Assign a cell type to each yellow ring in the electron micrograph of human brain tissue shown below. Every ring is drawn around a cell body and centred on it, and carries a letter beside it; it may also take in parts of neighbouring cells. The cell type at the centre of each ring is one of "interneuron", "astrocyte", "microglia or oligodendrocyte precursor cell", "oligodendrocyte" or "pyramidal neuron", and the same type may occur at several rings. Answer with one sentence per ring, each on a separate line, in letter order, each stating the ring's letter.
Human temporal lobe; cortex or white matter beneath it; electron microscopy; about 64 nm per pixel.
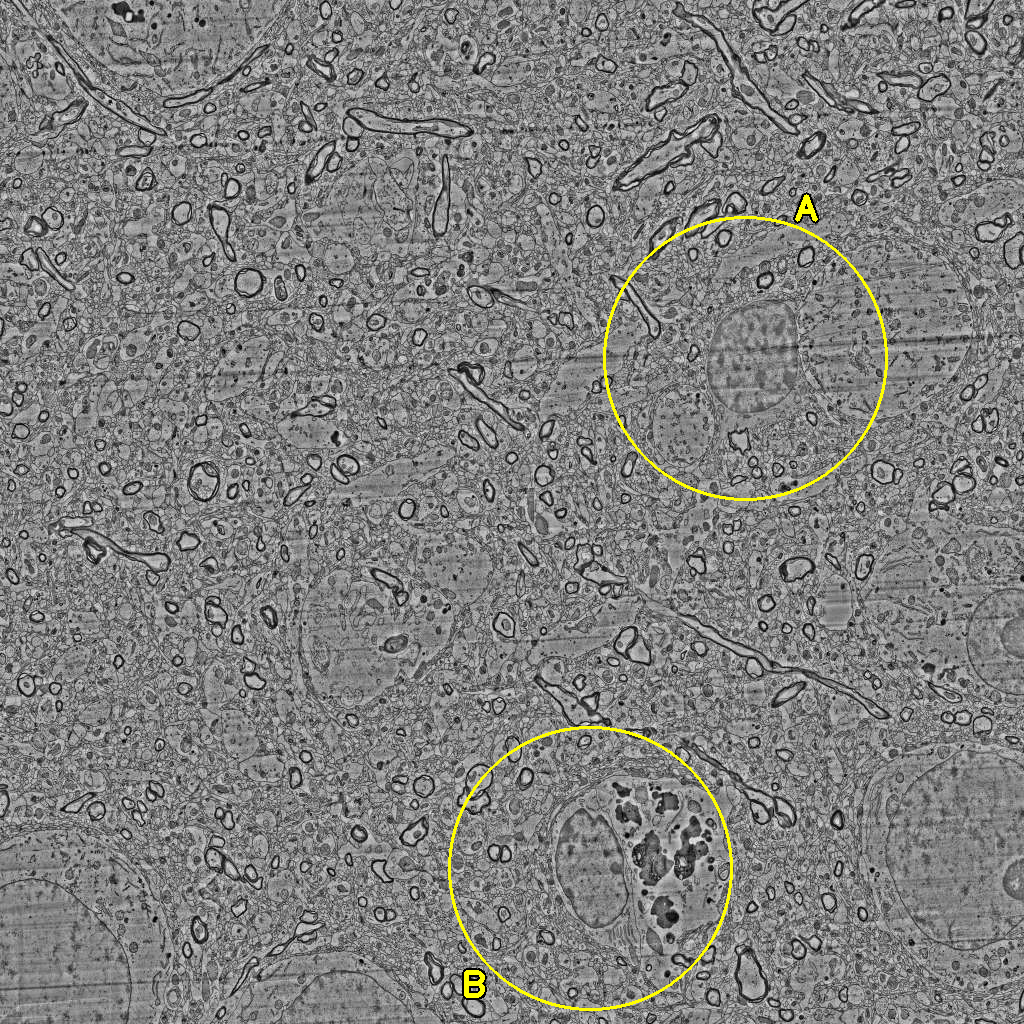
The cell at ring A's centre is an oligodendrocyte.
The cell at ring B's centre is a microglial cell or oligodendrocyte precursor cell.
